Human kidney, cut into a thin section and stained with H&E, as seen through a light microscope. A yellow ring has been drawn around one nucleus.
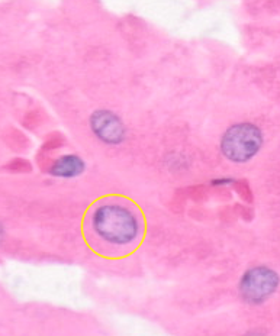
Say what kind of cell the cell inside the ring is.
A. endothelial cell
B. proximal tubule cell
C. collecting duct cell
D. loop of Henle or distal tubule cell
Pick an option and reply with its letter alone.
B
